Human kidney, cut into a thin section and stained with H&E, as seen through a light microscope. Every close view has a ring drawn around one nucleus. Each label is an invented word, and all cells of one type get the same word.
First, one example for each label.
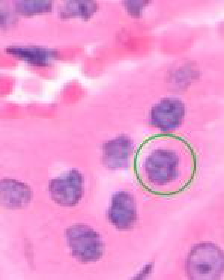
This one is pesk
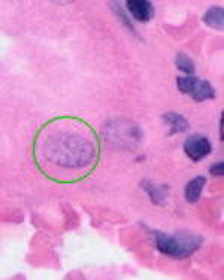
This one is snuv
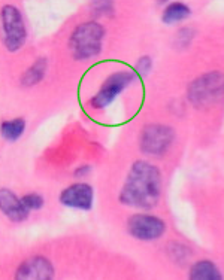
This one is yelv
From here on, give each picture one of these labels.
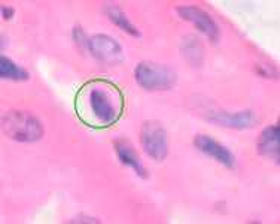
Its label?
yelv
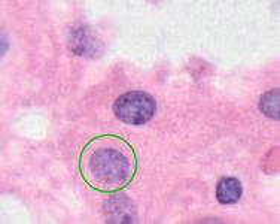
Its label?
snuv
